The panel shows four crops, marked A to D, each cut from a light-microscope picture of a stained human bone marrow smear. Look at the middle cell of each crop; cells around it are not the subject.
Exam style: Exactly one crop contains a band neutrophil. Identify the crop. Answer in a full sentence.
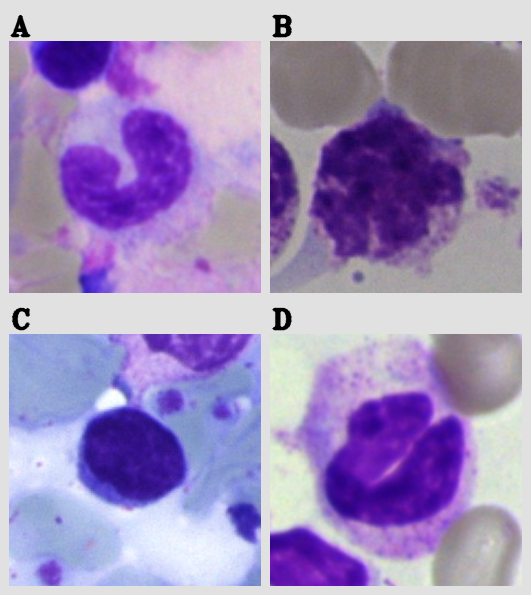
Crop A matches the request, showing a band neutrophil.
